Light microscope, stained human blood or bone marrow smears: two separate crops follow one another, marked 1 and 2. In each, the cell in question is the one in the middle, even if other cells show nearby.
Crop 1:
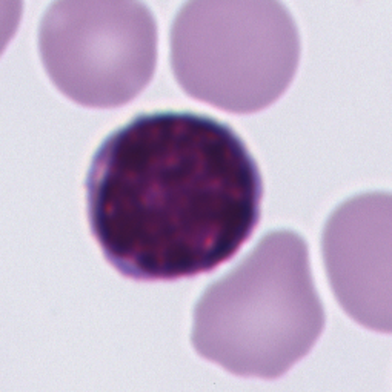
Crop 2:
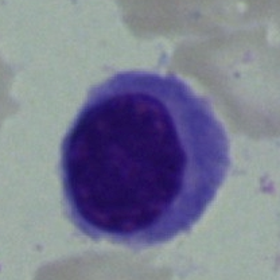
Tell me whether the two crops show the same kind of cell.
no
